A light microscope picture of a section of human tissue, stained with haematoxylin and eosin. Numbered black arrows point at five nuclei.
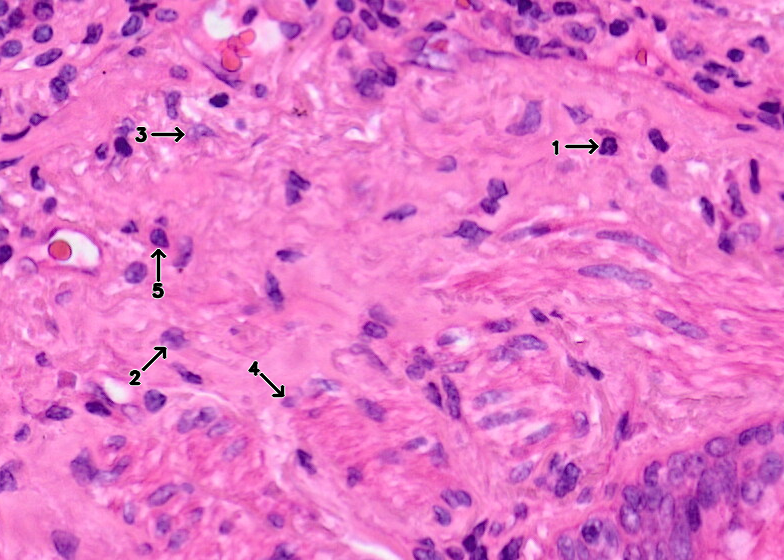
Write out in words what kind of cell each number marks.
Cell 1 is a plasma cell. Cells 2 and 3 are fibroblasts. Cell 4 is a smooth muscle cell or pericyte. Cell 5 is a mast cell.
